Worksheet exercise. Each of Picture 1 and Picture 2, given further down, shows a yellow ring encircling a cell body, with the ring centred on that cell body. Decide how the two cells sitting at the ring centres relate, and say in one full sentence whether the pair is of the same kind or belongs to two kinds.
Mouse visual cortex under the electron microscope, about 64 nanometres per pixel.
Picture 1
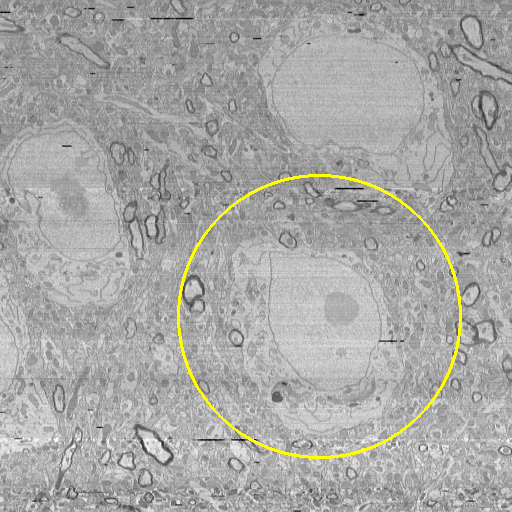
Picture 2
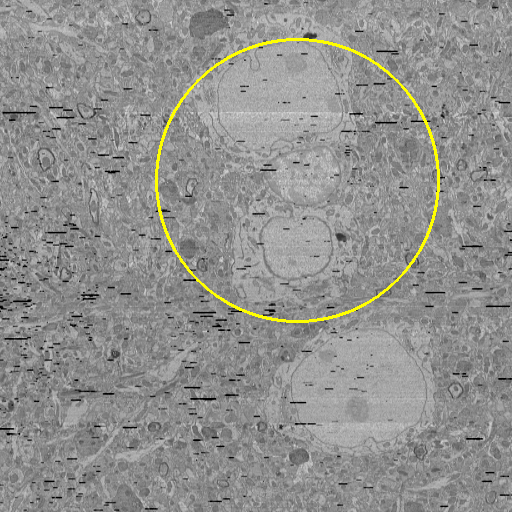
The cells at the ring centres in Picture 1 and Picture 2 belong to two kinds.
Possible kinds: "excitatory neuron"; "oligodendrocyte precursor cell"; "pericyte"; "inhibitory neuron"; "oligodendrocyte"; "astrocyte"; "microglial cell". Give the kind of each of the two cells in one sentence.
The cell in the second picture is an oligodendrocyte, and that in the first is an excitatory neuron.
